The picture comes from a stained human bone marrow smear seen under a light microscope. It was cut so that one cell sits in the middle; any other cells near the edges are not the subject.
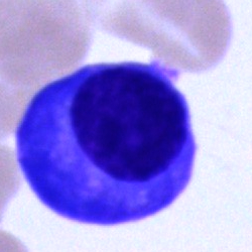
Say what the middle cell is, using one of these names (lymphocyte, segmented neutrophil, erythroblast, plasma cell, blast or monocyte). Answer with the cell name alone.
plasma cell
